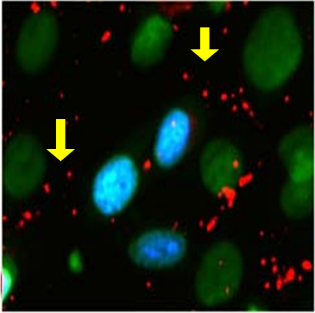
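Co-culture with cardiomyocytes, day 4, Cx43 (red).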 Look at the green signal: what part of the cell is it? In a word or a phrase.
nuclei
